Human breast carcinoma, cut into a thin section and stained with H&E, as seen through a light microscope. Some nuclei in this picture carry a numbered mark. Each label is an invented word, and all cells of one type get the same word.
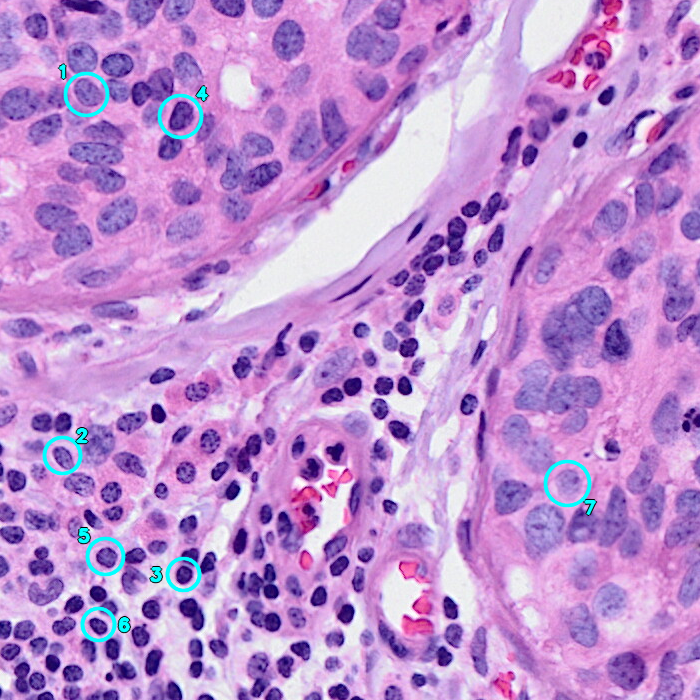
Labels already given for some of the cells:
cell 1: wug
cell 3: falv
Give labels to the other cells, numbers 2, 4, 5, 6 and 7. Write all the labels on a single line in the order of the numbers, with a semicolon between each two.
falv; wug; falv; falv; wug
